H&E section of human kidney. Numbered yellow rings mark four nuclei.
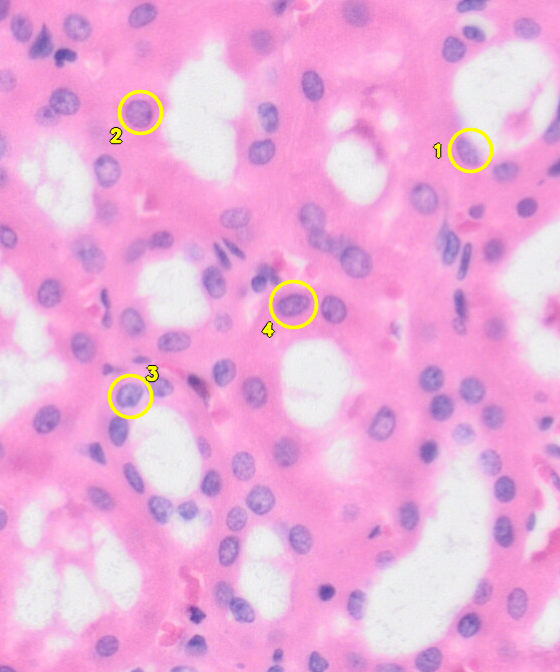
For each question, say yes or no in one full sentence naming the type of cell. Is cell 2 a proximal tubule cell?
Yes, number 2 in this section denotes a proximal tubule cell.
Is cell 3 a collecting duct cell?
Yes, what number 3 marks is a collecting duct cell.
